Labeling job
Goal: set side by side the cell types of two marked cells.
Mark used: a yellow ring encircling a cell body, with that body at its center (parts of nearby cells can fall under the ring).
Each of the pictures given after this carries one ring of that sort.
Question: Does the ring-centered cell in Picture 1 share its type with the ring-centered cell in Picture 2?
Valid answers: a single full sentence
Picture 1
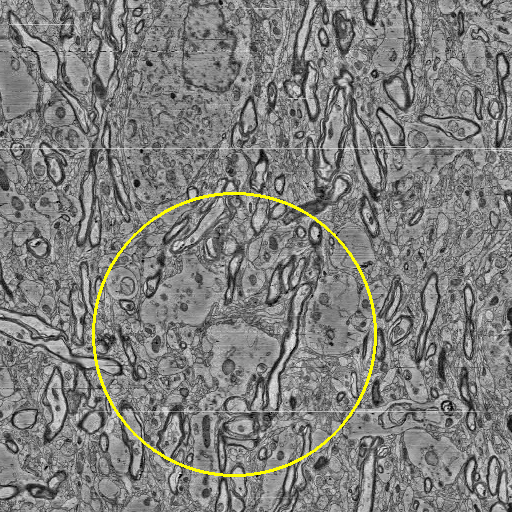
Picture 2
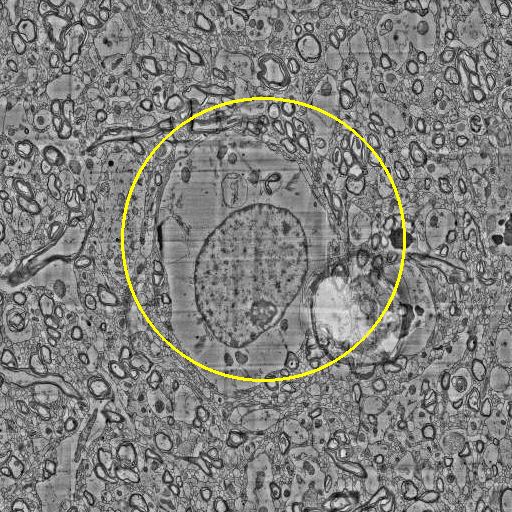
Yes, in Pictures 1 and 2 the cells at the ring centers share one type.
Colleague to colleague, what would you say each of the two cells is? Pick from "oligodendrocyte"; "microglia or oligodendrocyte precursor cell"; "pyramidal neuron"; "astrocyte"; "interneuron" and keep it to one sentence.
Each cell, in the first picture and the second, is an astrocyte.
